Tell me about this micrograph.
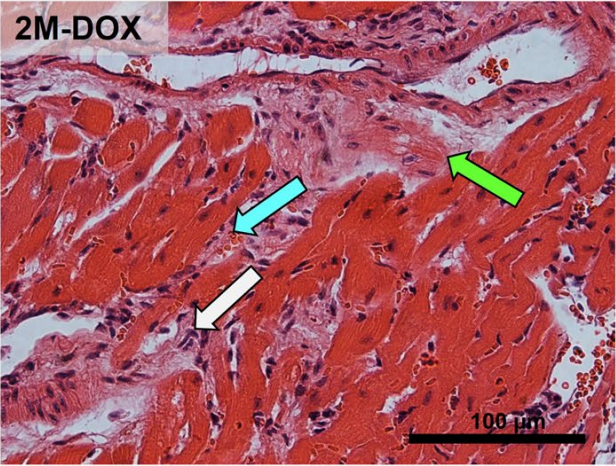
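Heart muscle with bright red cardiomyocytes running diagonally, interrupted by pale, loose purplish interstitial tissue and open vascular spaces at the top. Many small dark nuclei crowd in the pale tissue between fibres, and small round red blood cells lie in clusters within and near the spaces.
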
